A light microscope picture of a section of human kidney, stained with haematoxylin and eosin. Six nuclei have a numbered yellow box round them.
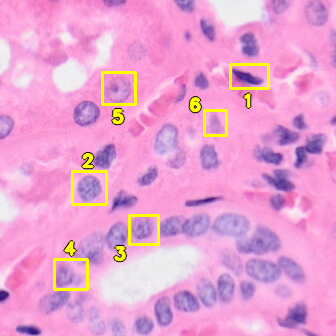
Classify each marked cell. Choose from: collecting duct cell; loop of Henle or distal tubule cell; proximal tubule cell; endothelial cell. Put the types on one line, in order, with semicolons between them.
endothelial cell; loop of Henle or distal tubule cell; collecting duct cell; collecting duct cell; proximal tubule cell; loop of Henle or distal tubule cell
